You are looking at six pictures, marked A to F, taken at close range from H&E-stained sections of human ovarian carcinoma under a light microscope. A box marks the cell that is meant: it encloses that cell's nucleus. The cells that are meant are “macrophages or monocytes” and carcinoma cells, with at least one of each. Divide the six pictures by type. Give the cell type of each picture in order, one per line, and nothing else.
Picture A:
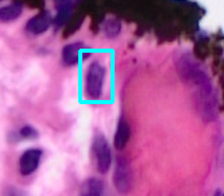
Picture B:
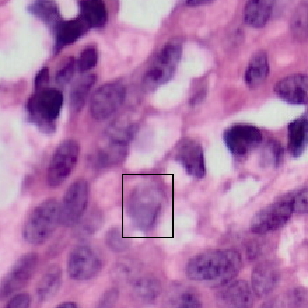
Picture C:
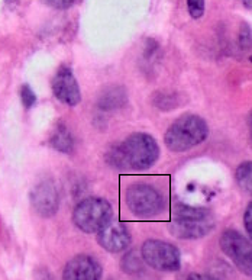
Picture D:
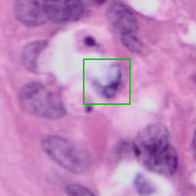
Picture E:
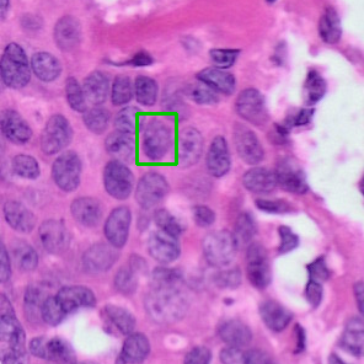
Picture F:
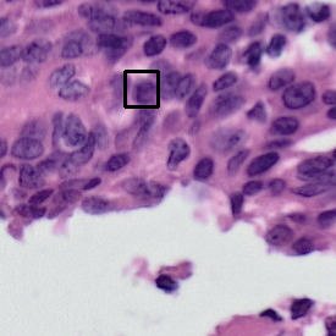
macrophage or monocyte
carcinoma cell
carcinoma cell
macrophage or monocyte
carcinoma cell
carcinoma cell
